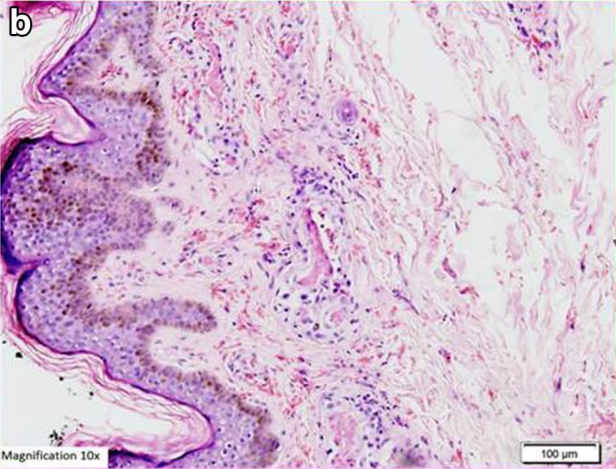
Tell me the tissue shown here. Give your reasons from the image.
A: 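A multilayered epithelium lines the left edge of the section. A thin layer of pink keratin lies on its surface. Basal cells are darker and pigmented brown, upper cells flatter. On this evidence: keratinizing stratified squamous epithelium.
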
